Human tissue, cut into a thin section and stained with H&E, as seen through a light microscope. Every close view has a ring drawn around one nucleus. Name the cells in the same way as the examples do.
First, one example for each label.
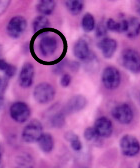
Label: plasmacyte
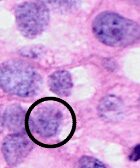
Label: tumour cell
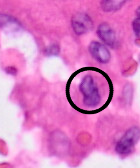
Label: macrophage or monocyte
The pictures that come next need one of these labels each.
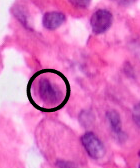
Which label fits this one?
macrophage or monocyte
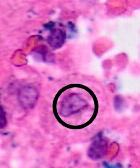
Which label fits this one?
macrophage or monocyte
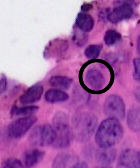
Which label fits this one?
tumour cell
